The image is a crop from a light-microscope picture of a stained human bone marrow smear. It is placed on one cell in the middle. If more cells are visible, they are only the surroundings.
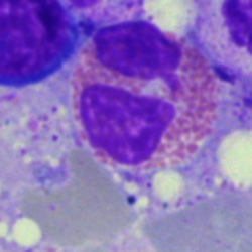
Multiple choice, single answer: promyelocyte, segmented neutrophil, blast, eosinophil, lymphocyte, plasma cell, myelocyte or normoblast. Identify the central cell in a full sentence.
The crop centres on a single cell, and that cell is an eosinophil.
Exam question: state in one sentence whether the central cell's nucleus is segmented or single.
This cell has a nucleus made up of two or more segments.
